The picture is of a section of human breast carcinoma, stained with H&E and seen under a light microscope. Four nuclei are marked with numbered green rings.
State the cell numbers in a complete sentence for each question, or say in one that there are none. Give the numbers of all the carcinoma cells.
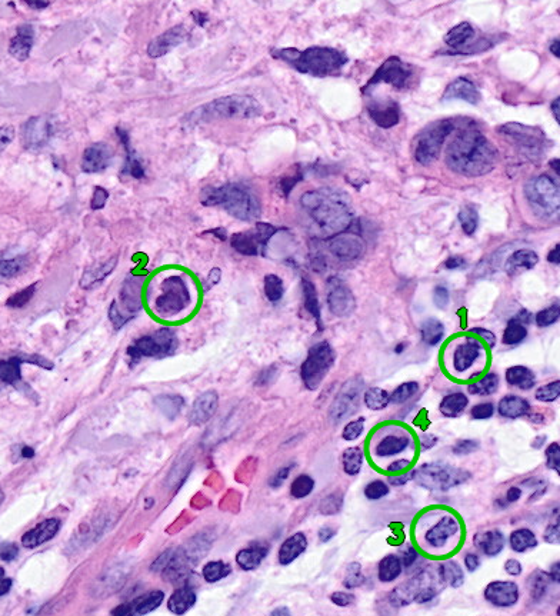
Only the cell with the number 2 is a carcinoma cell.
